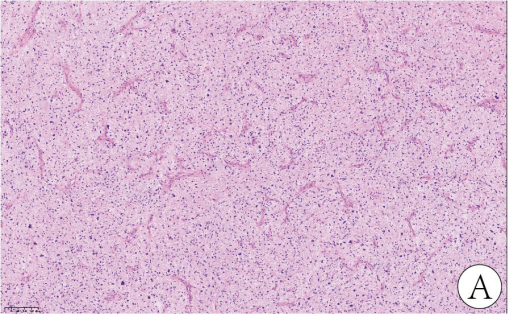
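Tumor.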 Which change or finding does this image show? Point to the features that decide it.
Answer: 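Rich in mucous. Pale, loose, lightly stained background matrix between the cells.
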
